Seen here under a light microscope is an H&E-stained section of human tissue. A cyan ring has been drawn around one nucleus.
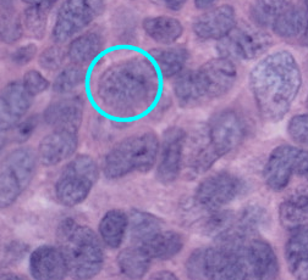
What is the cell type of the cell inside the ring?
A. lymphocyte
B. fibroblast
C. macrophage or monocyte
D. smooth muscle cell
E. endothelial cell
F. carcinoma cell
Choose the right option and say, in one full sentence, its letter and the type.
Option F correctly identifies the cell inside the ring as a carcinoma cell.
